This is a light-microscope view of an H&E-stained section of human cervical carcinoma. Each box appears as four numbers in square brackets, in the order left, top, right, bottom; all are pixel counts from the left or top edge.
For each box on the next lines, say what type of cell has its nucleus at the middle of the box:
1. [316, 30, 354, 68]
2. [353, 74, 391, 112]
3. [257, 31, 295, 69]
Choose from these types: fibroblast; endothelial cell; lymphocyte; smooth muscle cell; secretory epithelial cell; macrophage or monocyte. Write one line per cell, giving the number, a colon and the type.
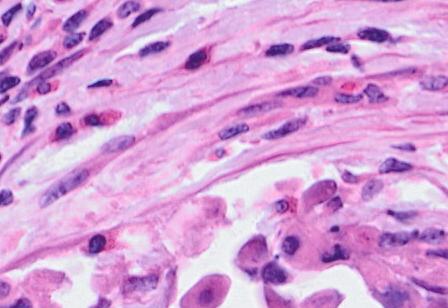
1: lymphocyte
2: endothelial cell
3: lymphocyte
